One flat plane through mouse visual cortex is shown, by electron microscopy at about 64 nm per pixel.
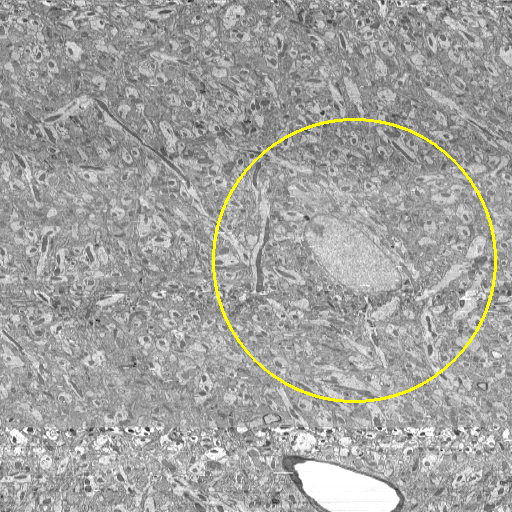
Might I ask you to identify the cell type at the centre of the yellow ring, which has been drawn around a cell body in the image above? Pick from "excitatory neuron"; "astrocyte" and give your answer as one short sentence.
The centre of the ring falls on an astrocyte.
